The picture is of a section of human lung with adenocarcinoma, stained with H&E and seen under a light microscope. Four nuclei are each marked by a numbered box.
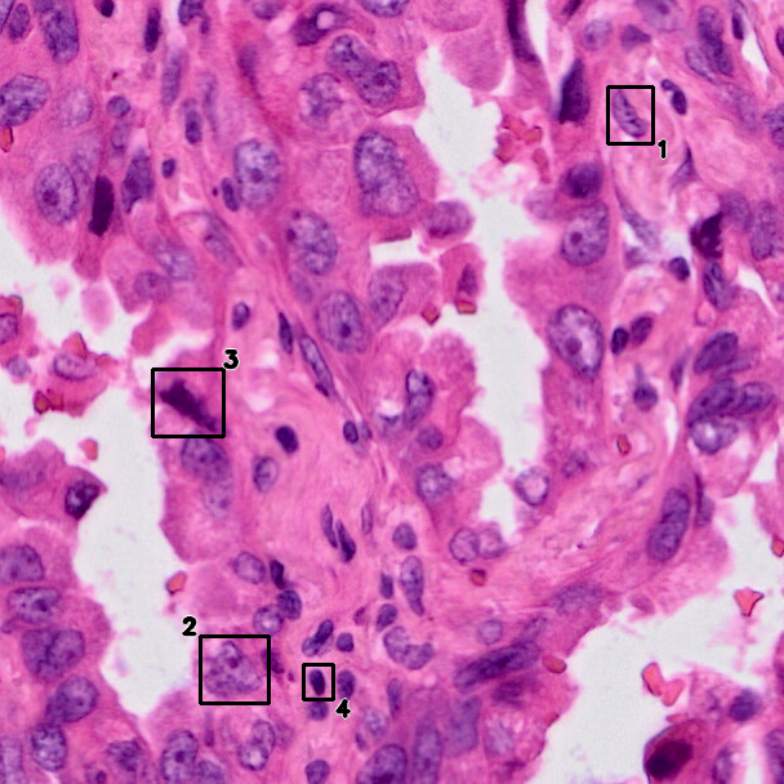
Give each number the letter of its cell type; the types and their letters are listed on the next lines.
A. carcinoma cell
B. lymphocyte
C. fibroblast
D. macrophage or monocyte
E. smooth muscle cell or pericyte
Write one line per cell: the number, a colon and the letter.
1: C
2: A
3: A
4: B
